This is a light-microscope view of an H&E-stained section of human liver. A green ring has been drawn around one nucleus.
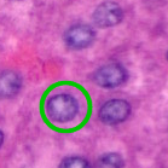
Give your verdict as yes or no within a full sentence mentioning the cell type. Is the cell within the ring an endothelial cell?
No, it is not as an endothelial cell but as a hepatocyte that the cell within the ring is classed.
